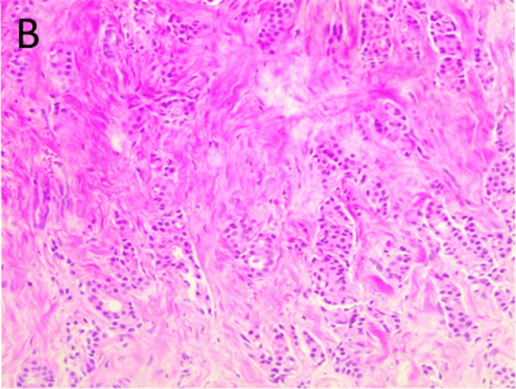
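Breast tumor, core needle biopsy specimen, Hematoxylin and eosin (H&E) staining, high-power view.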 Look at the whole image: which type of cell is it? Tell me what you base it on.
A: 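Atypical epithelial cells. Cohesive cells with dark round to oval nuclei form small nests, cords and tubule-like groups. The groups are embedded among dense pink collagen bundles. Nuclei vary only modestly in size and shape.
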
